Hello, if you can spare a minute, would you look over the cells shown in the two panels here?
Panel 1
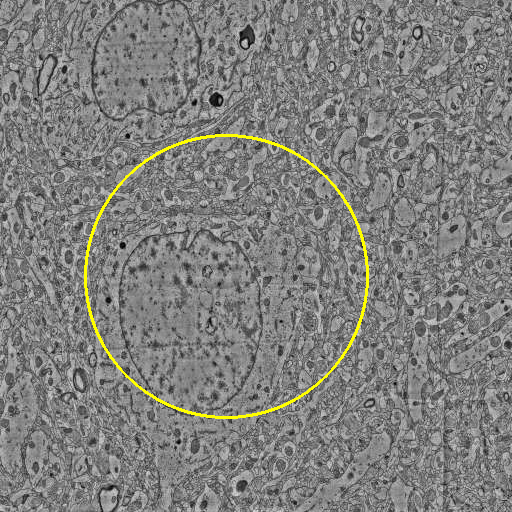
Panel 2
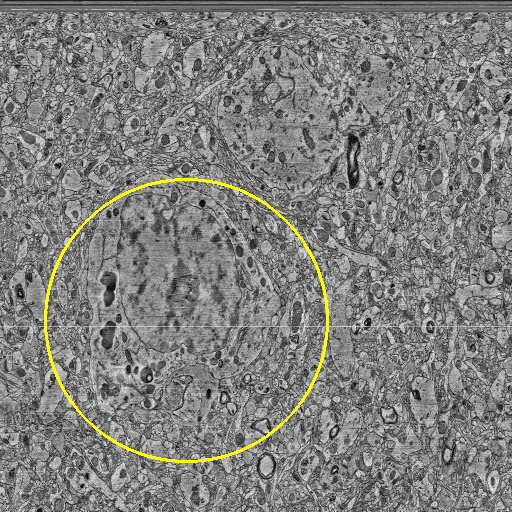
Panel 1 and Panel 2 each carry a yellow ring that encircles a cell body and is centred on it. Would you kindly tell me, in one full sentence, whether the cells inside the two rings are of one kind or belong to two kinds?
The cells at the centres of the rings in Panel 1 and Panel 2 belong to two kinds.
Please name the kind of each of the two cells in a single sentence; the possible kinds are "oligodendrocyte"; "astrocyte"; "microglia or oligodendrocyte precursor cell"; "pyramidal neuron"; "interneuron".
In the first picture the ring is centred on a pyramidal neuron, and in the second on an interneuron.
